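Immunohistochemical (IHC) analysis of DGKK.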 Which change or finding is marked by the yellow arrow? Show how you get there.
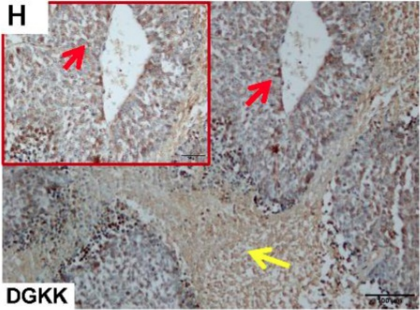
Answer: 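Necrosis cells. The yellow arrow points to a pale, tan area with few distinct nuclei. The surrounding tumour tissue has dense blue nuclei.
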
